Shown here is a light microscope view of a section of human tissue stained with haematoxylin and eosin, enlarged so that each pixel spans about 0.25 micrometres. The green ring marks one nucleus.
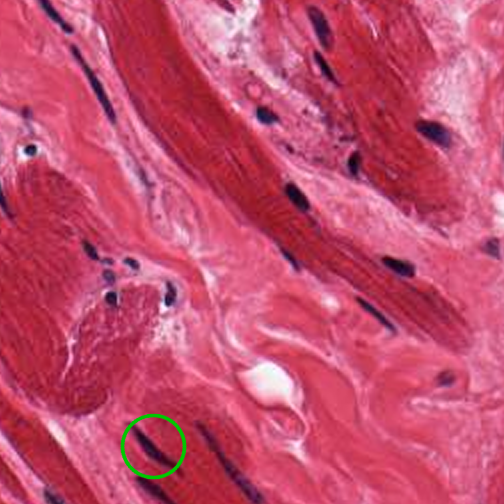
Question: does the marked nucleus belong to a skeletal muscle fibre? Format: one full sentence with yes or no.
Yes, the marked nucleus is part of a skeletal muscle fibre.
